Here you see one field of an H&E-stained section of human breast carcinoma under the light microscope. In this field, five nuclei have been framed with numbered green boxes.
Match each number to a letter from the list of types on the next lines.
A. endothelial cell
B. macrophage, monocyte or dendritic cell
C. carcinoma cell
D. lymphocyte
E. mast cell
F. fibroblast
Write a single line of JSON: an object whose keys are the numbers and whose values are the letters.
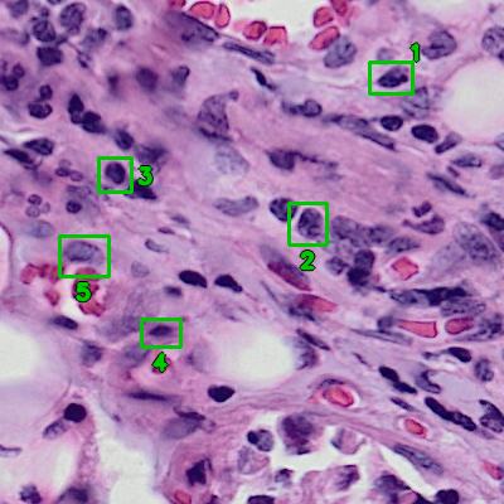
{"1": "D", "2": "D", "3": "D", "4": "A", "5": "A"}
